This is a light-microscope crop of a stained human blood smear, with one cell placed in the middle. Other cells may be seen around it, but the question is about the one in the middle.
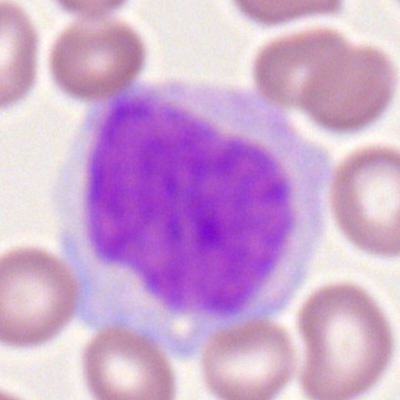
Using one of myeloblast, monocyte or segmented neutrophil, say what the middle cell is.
monocyte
